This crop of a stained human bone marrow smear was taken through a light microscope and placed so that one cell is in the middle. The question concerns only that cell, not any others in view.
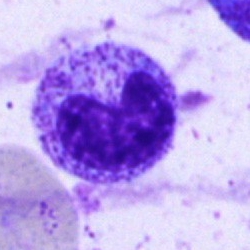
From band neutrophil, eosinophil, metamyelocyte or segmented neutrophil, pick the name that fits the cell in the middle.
metamyelocyte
